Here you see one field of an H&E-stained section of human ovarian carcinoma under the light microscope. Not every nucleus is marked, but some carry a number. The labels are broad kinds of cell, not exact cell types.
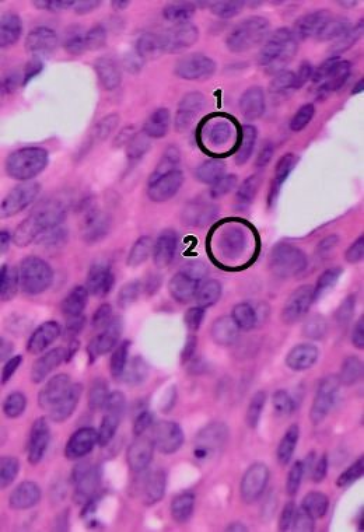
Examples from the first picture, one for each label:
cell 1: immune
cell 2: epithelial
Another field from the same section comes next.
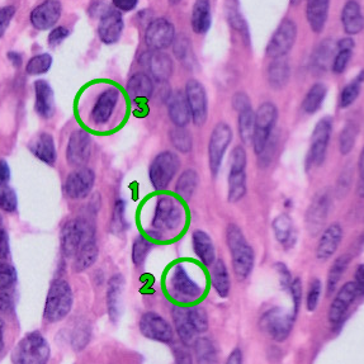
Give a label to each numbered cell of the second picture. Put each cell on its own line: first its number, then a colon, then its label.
1: epithelial
2: epithelial
3: immune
